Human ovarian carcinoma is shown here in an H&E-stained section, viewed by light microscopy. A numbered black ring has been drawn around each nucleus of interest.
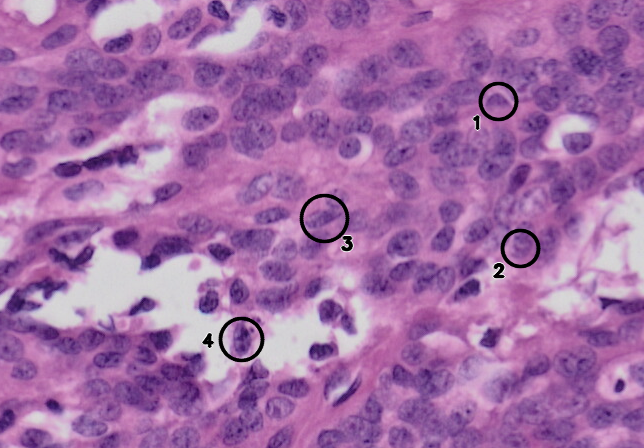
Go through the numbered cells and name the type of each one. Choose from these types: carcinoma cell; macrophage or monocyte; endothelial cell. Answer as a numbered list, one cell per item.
1. carcinoma cell
2. carcinoma cell
3. carcinoma cell
4. macrophage or monocyte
